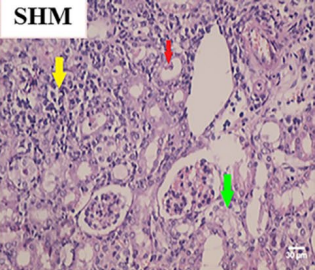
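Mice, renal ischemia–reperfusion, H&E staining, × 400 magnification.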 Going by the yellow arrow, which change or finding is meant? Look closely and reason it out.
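A dense sheet of small, dark round nuclei fills the interstitium where the arrow points. The crowded small cells lie between and around tubules. That points to this answer: inflammation.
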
